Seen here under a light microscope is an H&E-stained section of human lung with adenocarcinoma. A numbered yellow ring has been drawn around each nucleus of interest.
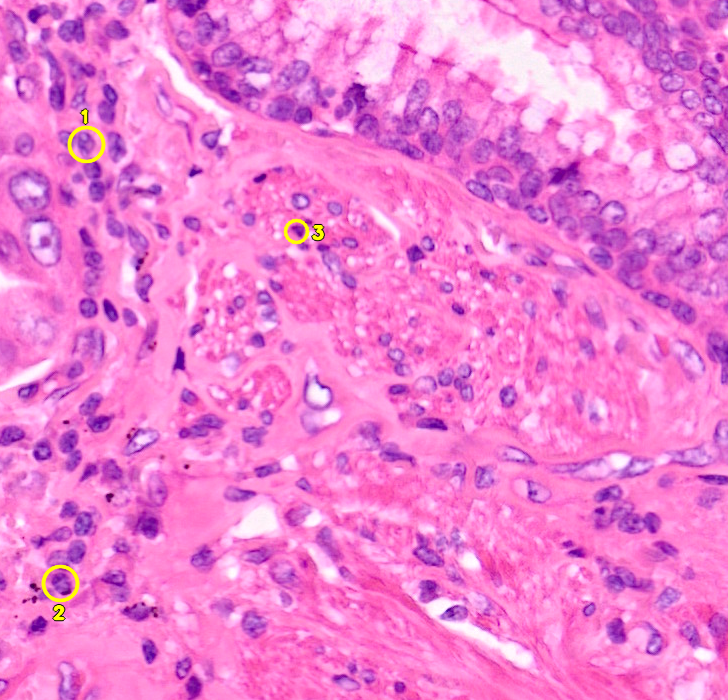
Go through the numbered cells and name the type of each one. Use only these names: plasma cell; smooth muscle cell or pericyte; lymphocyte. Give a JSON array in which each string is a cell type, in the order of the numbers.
["lymphocyte", "plasma cell", "smooth muscle cell or pericyte"]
